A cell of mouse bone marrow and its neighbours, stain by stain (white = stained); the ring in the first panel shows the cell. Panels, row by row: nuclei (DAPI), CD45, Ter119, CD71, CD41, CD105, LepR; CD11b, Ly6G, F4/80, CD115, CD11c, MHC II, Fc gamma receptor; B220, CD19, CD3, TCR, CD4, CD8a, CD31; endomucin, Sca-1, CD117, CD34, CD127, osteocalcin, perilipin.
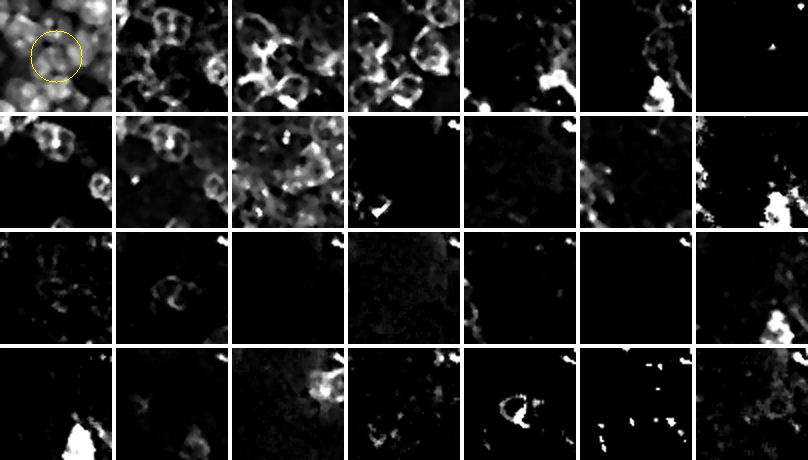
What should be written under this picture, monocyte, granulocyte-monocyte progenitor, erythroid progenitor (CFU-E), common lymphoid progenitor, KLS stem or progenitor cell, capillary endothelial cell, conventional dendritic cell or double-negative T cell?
common lymphoid progenitor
